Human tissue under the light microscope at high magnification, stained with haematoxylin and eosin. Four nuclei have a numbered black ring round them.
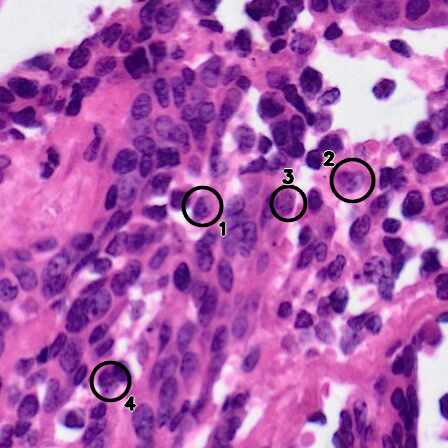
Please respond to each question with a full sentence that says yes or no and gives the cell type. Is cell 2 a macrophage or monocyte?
Yes, that one, number 2, is a macrophage or monocyte.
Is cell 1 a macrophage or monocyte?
Yes, the cell distinguished by number 1 is a macrophage or monocyte.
